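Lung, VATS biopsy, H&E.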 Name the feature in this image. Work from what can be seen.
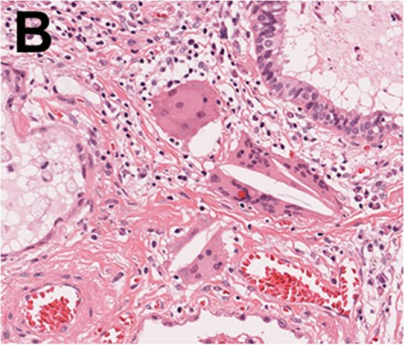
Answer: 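Cholesterol clefts. Slit-like empty spaces with pointed ends lie among the large pink cells.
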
